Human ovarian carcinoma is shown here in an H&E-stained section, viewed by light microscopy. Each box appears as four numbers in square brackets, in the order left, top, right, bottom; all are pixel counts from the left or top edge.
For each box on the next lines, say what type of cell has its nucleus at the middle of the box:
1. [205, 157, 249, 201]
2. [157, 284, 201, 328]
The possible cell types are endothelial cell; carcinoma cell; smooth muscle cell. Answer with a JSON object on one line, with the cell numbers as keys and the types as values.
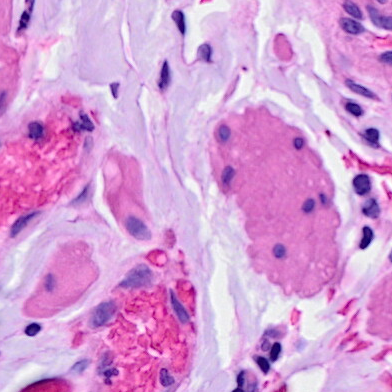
{"1": "smooth muscle cell", "2": "endothelial cell"}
